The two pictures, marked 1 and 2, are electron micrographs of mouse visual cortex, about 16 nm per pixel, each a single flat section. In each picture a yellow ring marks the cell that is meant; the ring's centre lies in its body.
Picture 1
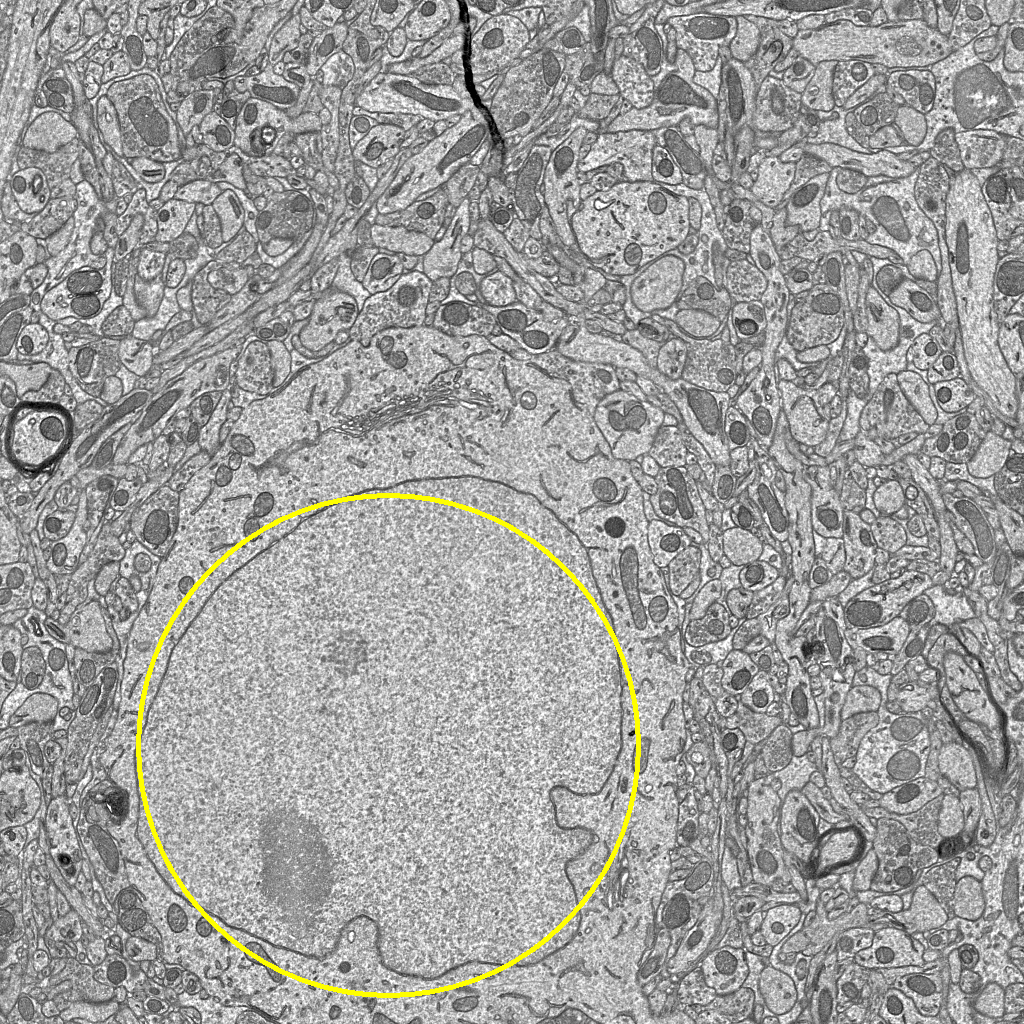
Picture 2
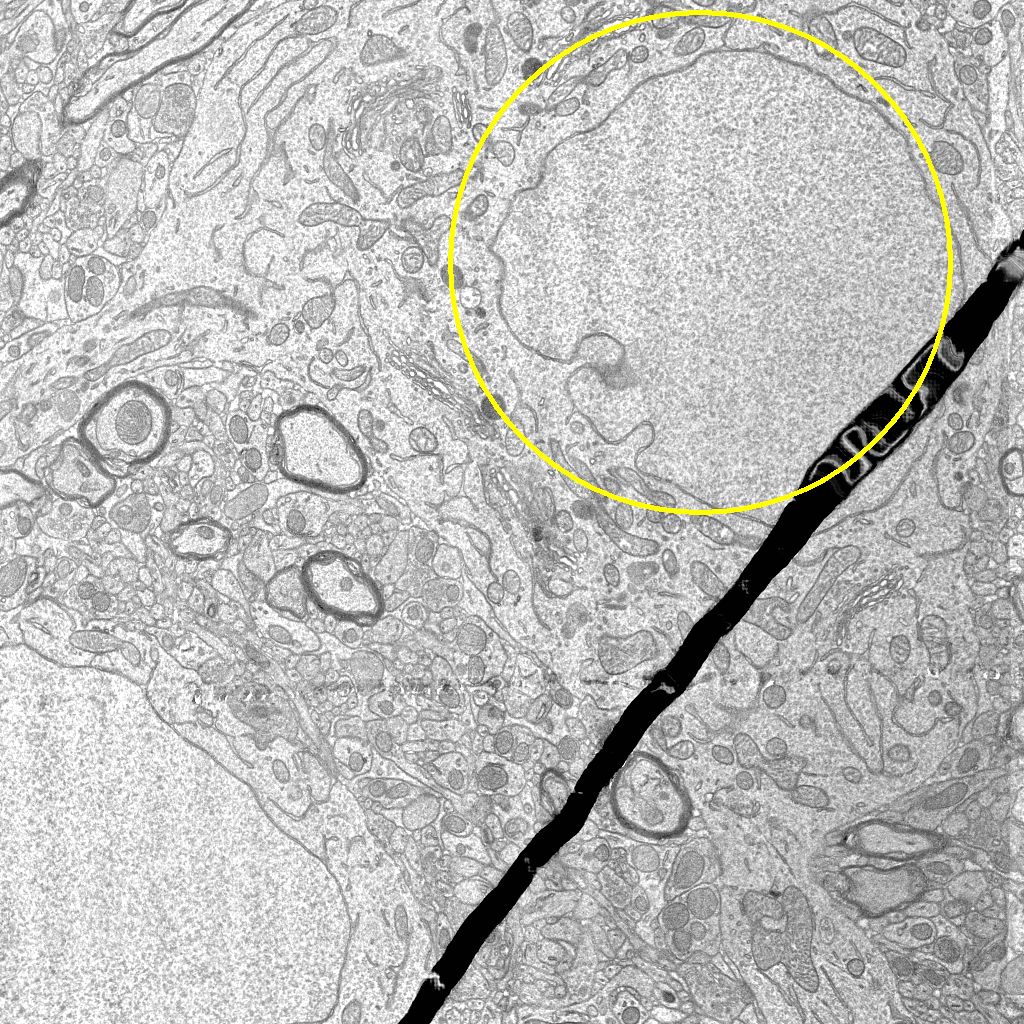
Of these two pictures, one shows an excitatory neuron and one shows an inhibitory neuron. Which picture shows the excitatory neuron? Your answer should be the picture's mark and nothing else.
1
